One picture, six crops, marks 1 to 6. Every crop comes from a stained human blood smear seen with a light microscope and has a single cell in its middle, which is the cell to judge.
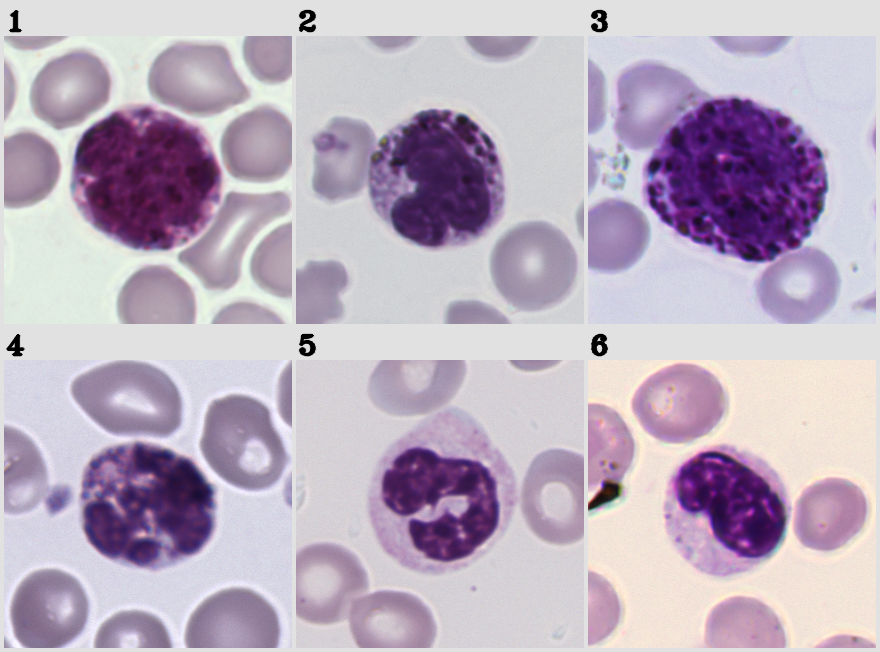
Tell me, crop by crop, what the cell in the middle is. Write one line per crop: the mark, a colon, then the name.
1: basophil
2: basophil
3: basophil
4: basophil
5: band neutrophil
6: band neutrophil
